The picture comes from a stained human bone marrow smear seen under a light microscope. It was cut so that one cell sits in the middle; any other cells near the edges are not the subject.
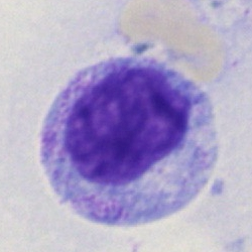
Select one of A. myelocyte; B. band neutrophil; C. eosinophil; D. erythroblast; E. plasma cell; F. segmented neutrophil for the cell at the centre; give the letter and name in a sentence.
The central cell of the crop is a myelocyte, which makes A the correct option.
